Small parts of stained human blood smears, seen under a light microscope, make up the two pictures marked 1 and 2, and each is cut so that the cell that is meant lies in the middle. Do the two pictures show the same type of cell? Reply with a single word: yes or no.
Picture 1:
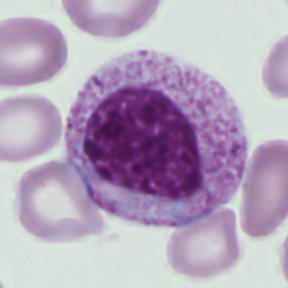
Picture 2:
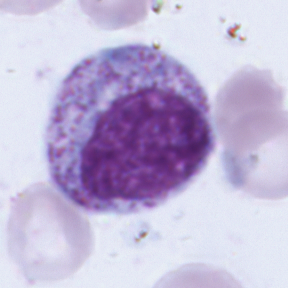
no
